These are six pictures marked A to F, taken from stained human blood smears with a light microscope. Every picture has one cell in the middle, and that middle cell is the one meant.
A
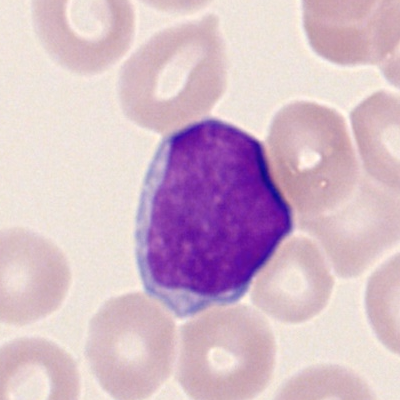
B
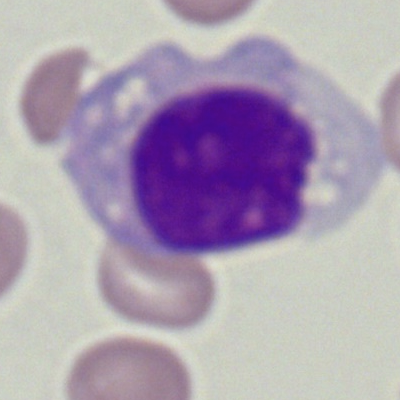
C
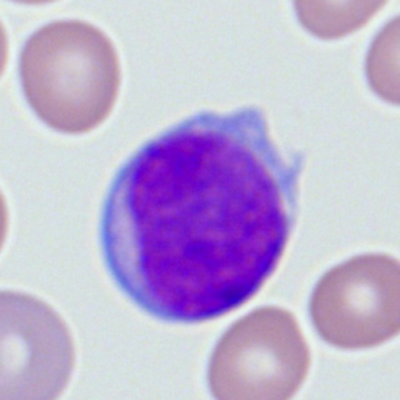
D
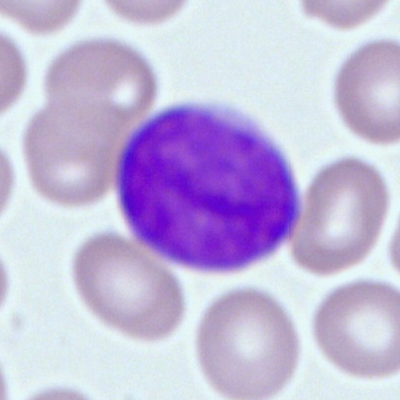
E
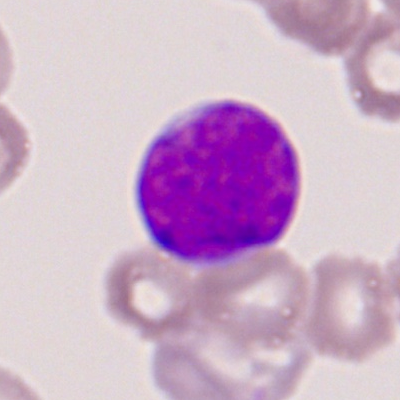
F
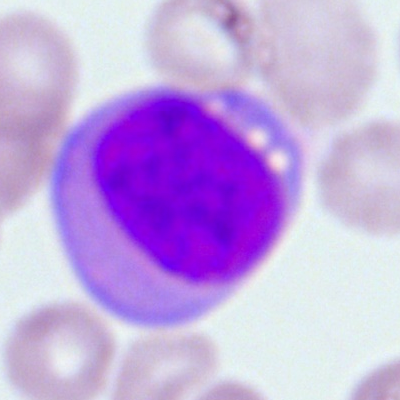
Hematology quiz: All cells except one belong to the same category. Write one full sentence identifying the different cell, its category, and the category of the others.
Crop B stands apart from the rest as a monocyte, the others all being myeloblasts.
